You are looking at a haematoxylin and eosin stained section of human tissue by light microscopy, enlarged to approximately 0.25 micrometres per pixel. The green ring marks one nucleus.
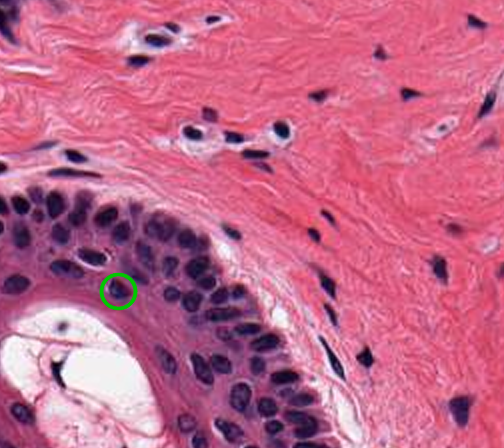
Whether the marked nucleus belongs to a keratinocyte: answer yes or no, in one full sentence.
Yes, the owner of the marked nucleus is a keratinocyte.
